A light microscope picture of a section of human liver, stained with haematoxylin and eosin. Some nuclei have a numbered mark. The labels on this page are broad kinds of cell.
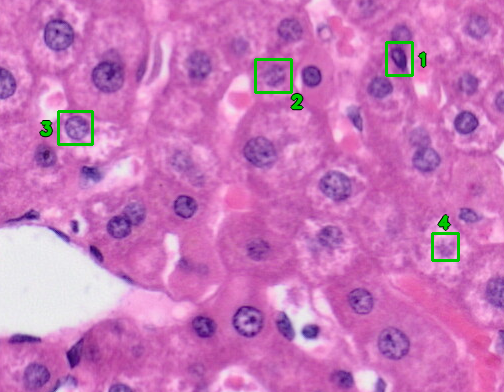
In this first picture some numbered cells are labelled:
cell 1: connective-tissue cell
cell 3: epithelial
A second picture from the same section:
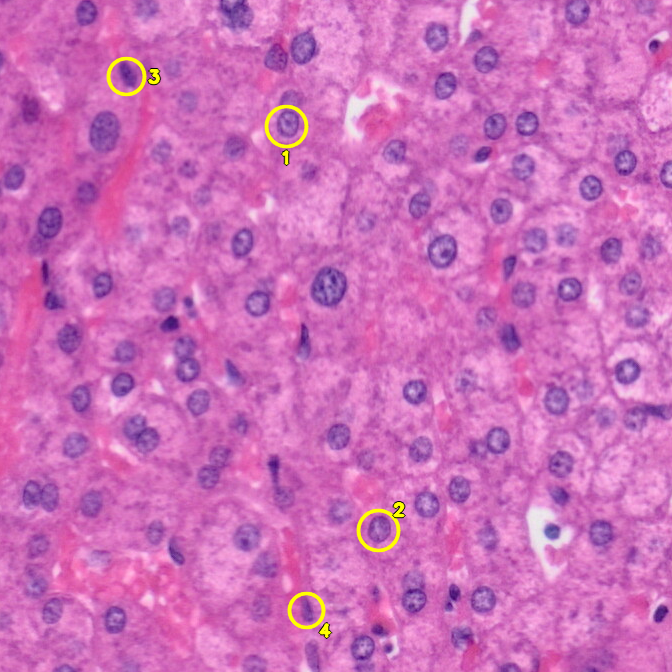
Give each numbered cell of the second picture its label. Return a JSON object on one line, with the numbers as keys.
{"1": "epithelial", "2": "epithelial", "3": "connective-tissue cell", "4": "connective-tissue cell"}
